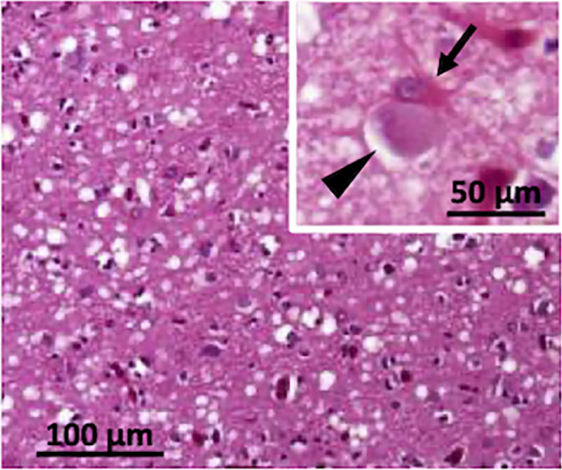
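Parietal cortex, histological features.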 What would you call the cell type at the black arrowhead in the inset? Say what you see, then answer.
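Ballooned neuron. The marked cell is large and rounded. Its cytoplasm is pale, glassy and swollen.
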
